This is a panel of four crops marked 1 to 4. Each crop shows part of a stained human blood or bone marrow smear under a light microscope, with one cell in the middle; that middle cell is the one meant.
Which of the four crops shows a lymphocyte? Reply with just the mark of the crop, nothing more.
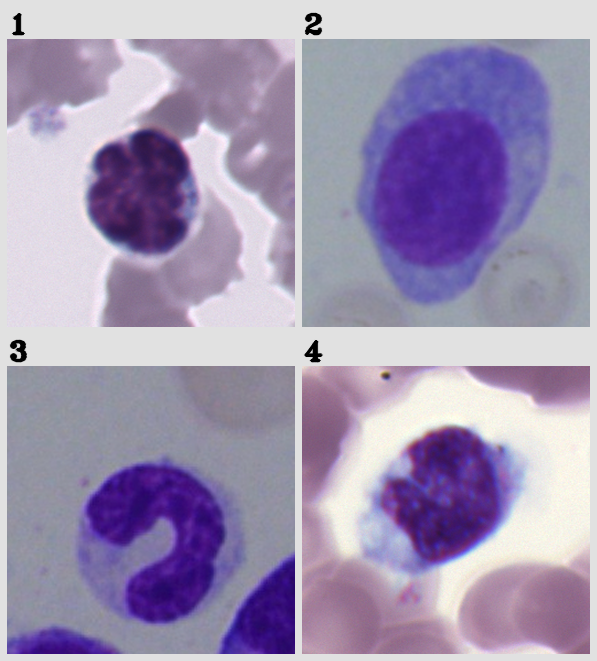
1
